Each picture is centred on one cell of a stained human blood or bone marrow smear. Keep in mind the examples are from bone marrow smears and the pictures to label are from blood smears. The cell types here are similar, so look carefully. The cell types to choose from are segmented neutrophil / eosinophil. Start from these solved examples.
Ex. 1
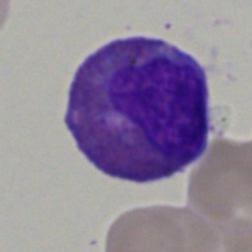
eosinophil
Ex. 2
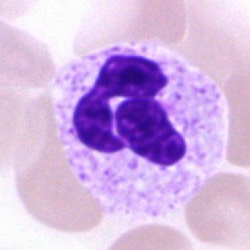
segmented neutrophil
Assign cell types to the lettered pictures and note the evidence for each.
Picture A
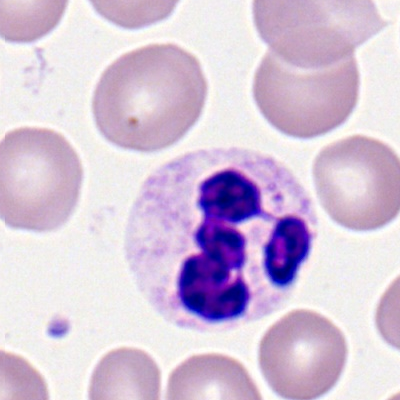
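segmented neutrophil. Evidence: The cytoplasm holds fine, small lilac granules.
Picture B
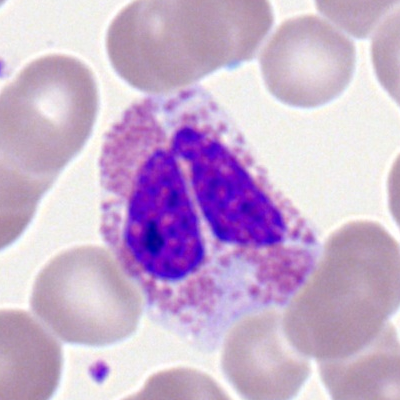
eosinophil. Evidence: The granules are coarse and of fairly even size.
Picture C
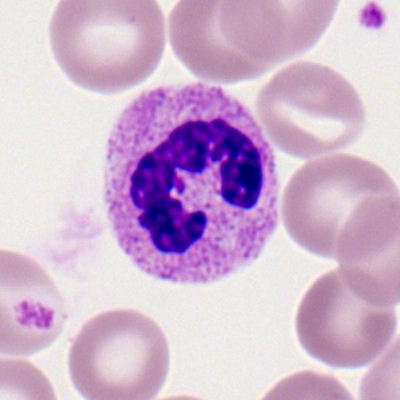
segmented neutrophil. Evidence: Fine pinkish-purple granules are scattered throughout the cytoplasm.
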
